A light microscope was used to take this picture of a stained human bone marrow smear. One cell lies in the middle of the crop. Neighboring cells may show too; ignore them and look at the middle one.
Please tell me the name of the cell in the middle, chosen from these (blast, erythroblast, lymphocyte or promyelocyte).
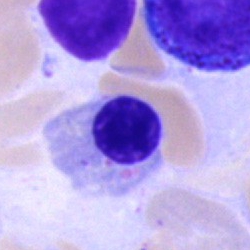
erythroblast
